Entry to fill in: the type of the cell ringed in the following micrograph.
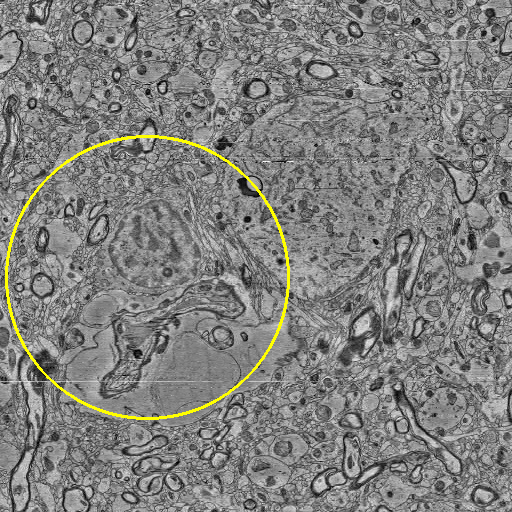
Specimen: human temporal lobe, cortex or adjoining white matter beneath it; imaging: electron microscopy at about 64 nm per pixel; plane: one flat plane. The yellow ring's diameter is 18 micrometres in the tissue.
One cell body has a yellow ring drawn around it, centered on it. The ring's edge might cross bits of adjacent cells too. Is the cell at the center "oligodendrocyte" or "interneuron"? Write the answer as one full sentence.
This entry names an oligodendrocyte as the cell whose body lies at the ring's center.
